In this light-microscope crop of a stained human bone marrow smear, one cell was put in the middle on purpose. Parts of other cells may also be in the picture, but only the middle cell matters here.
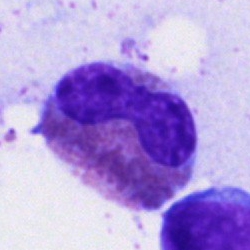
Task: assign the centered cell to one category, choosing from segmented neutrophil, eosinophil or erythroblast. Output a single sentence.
The centrally located cell in the crop is an eosinophil.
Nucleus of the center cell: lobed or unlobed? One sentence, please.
Its nucleus is compact and single, with a round, oval or kidney-shaped form.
